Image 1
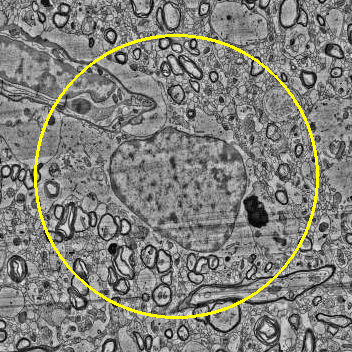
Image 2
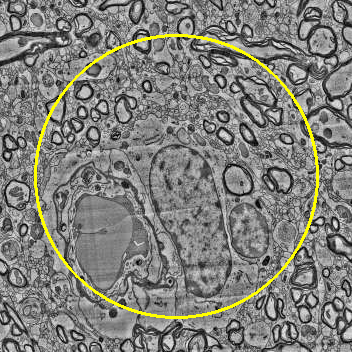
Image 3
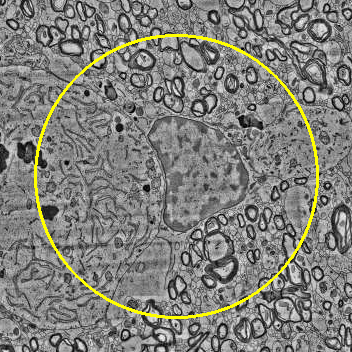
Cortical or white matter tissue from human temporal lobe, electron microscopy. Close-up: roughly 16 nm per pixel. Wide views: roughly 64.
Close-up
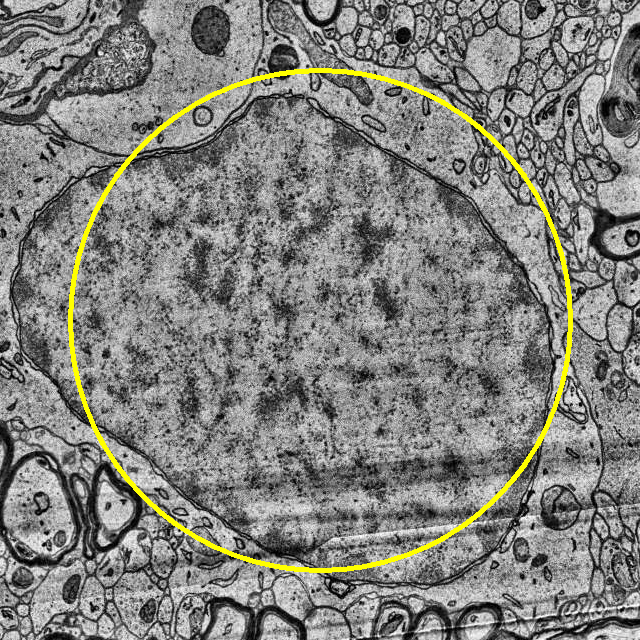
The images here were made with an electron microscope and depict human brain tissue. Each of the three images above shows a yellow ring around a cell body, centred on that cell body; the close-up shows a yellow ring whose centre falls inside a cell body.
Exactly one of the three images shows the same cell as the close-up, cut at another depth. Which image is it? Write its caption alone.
Image 1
